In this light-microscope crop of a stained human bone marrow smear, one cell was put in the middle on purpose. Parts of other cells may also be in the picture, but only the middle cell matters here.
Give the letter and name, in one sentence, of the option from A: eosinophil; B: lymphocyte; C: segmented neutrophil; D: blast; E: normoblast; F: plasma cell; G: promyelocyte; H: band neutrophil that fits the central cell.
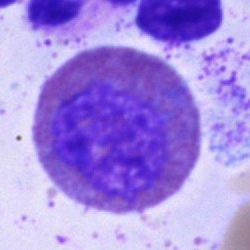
Option A is to be chosen, as the central cell is an eosinophil.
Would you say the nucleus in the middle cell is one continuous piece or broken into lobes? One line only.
The nucleus holds together as a single compact mass, round, oval or kidney-like.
